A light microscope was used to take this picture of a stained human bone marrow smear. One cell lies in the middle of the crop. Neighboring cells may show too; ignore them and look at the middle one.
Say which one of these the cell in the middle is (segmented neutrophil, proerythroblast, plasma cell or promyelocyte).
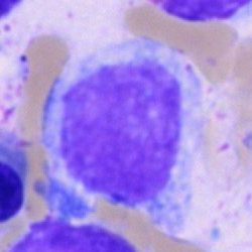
promyelocyte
